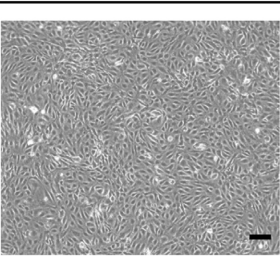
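The cells form a dense, confluent sheet and are more elongated, many of them spindle-shaped, lying side by side. Scattered cells appear bright and rounded against the sheet.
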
